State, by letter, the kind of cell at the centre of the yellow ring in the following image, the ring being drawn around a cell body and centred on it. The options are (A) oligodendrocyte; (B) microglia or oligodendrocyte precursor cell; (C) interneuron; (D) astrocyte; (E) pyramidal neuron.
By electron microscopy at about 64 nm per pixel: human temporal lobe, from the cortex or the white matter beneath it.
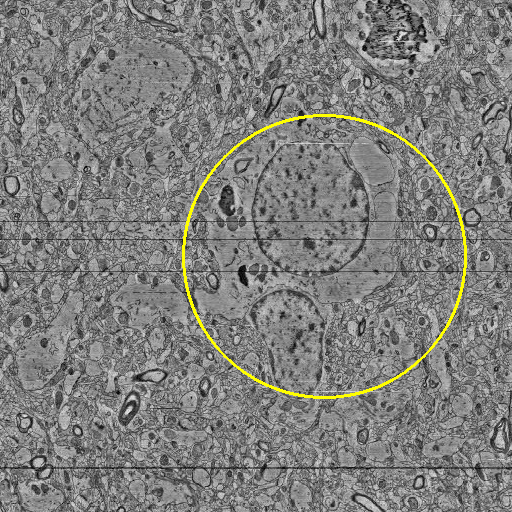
D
